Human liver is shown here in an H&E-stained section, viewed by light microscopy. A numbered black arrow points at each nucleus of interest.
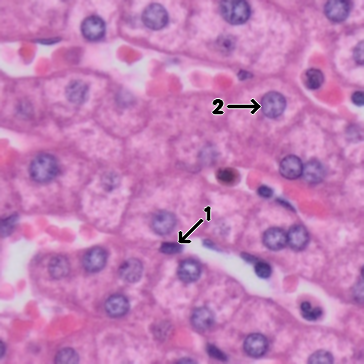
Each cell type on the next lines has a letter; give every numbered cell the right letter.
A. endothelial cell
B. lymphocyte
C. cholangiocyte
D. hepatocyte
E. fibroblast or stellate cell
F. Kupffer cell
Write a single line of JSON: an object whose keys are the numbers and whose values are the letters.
{"1": "E", "2": "D"}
